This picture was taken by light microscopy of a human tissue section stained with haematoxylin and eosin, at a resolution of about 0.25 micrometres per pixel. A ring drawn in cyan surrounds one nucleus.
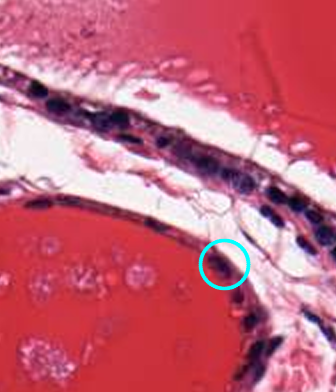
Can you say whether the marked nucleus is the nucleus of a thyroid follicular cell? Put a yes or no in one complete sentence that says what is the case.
Yes, the nucleus that is marked belongs to a thyroid follicular cell.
